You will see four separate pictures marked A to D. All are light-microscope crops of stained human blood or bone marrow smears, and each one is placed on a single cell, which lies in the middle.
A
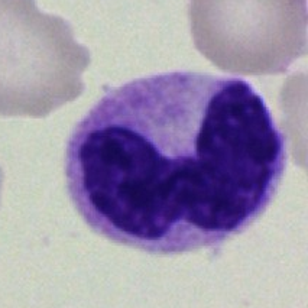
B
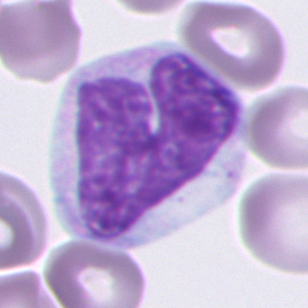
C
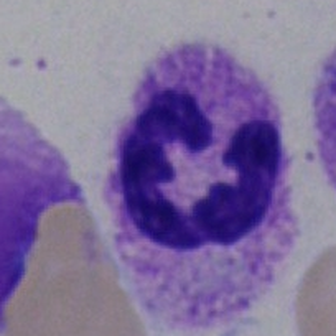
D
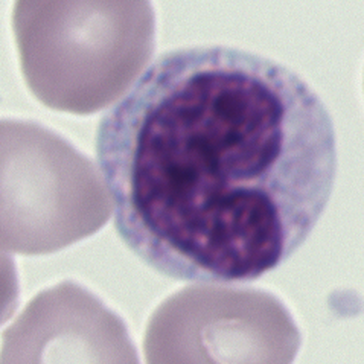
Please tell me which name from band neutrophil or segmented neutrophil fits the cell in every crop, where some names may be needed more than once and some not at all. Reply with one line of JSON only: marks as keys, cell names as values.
{"A": "band neutrophil", "B": "band neutrophil", "C": "segmented neutrophil", "D": "band neutrophil"}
